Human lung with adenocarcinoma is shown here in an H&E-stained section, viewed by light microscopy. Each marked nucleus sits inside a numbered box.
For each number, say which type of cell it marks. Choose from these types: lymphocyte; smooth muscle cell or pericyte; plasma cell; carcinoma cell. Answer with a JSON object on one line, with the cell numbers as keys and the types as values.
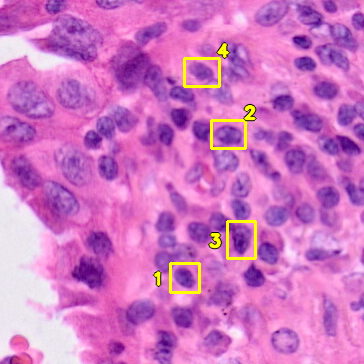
{"1": "lymphocyte", "2": "lymphocyte", "3": "plasma cell", "4": "lymphocyte"}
